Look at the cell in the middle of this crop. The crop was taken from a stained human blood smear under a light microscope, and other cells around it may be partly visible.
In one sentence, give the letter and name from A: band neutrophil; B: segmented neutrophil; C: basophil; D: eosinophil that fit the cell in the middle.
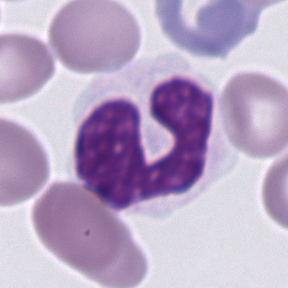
The cell at the heart of the crop is a band neutrophil, so choose option A.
